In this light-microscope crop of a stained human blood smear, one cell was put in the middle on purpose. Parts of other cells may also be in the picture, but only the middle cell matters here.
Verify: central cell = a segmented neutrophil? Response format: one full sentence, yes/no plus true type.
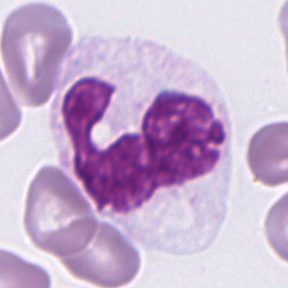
Yes, the middle cell is properly termed a segmented neutrophil.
